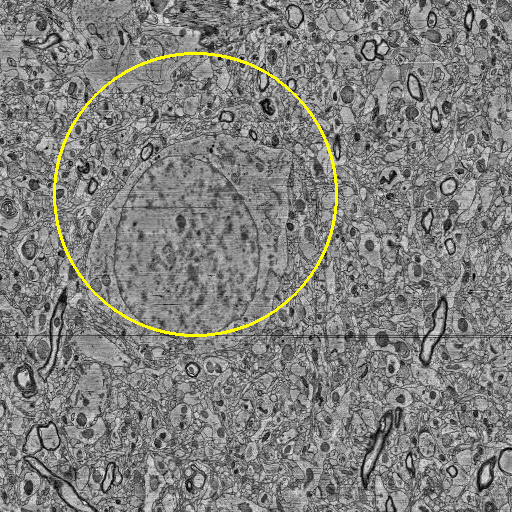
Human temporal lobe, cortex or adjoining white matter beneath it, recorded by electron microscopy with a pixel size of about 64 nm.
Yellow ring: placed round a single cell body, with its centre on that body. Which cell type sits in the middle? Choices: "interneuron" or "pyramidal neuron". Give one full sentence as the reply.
It is an interneuron whose cell body sits at the centre of the yellow ring.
